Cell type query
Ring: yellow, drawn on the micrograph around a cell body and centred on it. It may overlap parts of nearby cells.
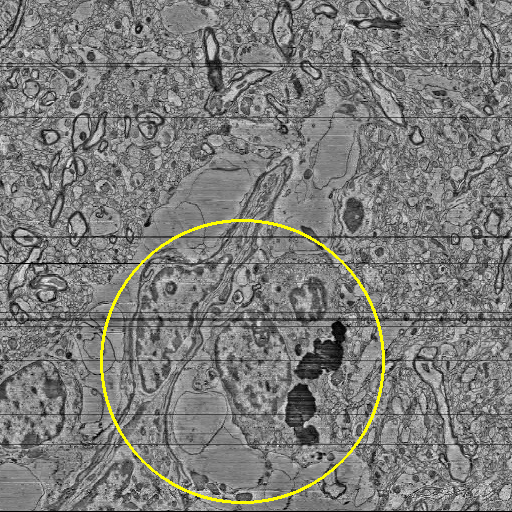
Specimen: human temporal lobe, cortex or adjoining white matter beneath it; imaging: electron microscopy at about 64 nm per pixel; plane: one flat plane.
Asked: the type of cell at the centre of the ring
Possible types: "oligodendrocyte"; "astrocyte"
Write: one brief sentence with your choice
The ring marks an oligodendrocyte.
